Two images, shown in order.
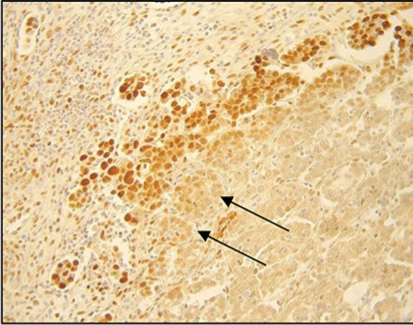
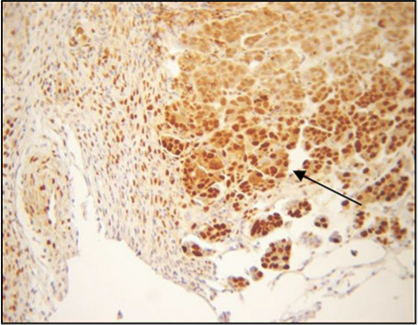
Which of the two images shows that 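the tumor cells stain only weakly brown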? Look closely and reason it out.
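First image: at the arrows the tumor cells are pale tan with faint nuclei. Second image: the tumor cell nests carry dense dark brown nuclei.
Conclusion: the first image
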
